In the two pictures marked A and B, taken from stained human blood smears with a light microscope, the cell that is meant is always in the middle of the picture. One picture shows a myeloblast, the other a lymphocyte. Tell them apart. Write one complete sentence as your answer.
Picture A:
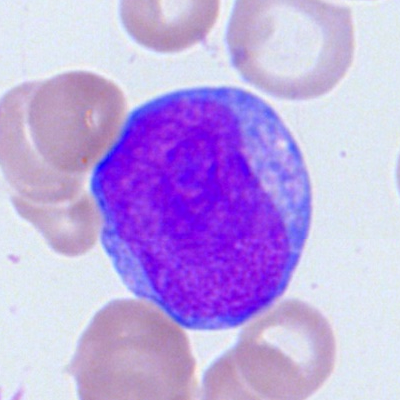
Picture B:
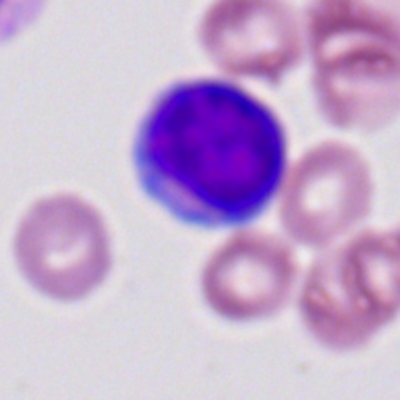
Picture A shows a myeloblast and picture B shows a lymphocyte.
